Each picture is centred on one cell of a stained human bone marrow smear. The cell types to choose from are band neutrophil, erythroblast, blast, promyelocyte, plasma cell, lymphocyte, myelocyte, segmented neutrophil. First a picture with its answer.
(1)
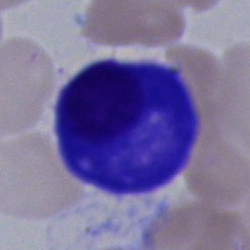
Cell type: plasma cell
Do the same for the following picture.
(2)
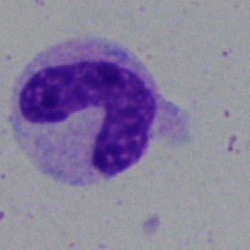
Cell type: band neutrophil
